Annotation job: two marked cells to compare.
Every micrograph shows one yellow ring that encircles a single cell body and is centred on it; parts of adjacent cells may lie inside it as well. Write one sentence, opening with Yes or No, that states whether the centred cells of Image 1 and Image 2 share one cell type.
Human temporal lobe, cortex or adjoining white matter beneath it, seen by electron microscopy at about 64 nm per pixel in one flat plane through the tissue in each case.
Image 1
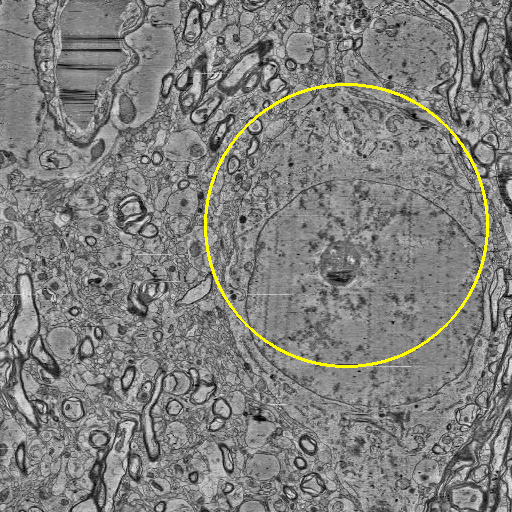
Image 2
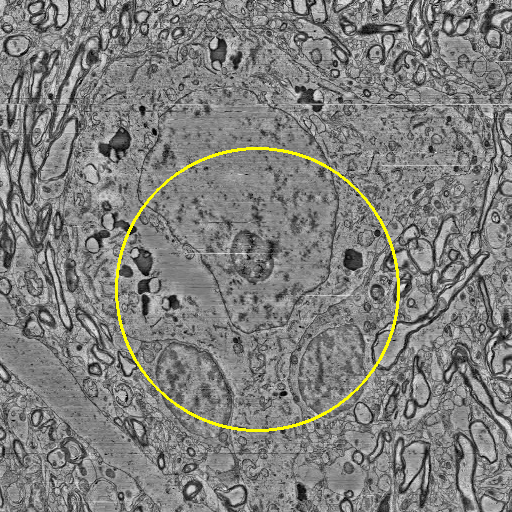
Yes, the cell centred in Image 1 shares its type with the cell centred in Image 2.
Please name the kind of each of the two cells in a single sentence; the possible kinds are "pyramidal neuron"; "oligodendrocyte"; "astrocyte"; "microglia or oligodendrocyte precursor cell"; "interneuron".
In the first picture and in the second, the ring is centred on a pyramidal neuron.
